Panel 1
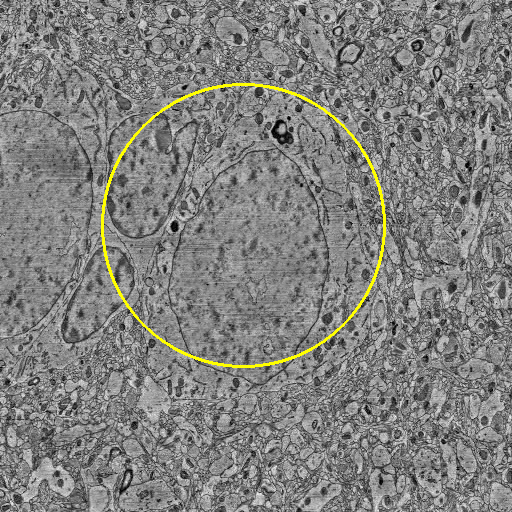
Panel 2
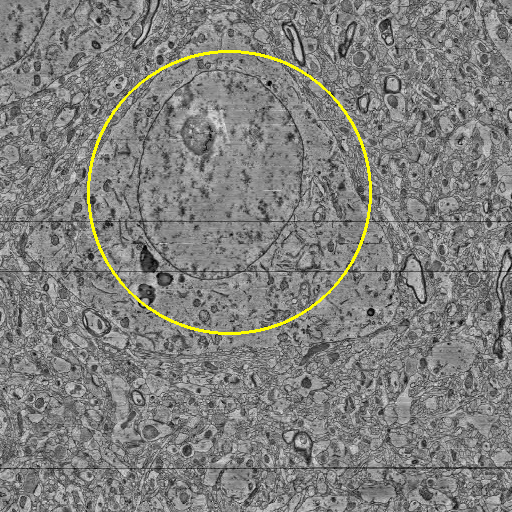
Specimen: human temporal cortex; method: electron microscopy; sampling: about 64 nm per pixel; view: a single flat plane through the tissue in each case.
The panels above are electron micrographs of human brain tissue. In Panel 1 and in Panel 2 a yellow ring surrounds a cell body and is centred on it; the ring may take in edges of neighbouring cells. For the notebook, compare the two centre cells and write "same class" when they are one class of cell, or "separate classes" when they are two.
same class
